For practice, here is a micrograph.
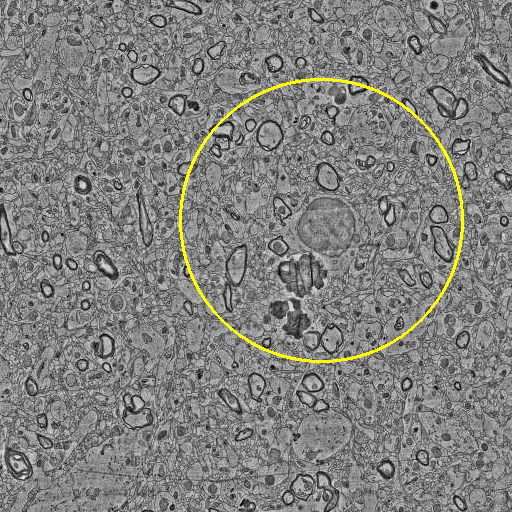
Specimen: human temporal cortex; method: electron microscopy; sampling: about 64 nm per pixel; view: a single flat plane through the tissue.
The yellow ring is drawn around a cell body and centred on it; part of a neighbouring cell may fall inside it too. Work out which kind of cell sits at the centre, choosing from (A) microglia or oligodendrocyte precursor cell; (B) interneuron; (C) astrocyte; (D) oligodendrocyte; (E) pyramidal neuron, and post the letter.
D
